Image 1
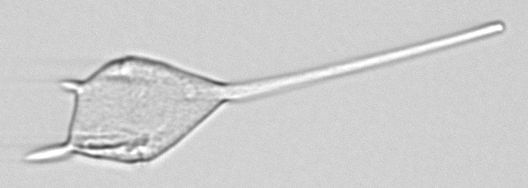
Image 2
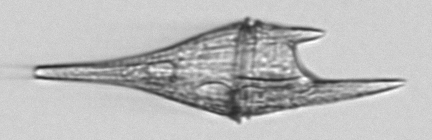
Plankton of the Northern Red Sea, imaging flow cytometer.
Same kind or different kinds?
Same: Tripos.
